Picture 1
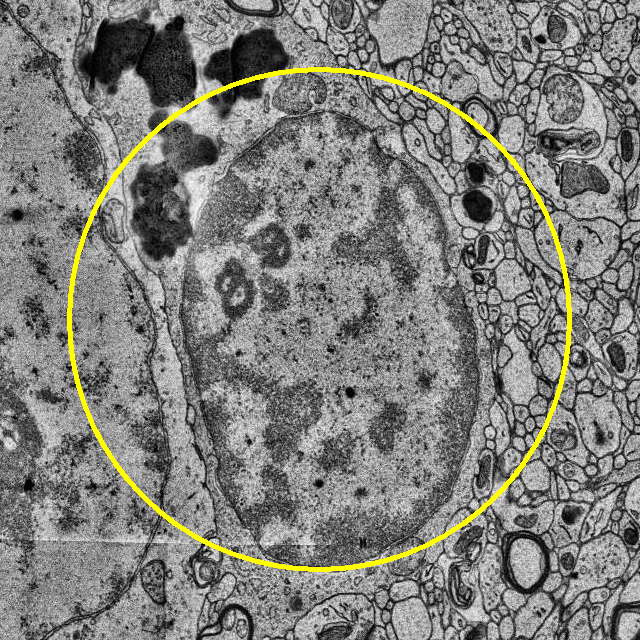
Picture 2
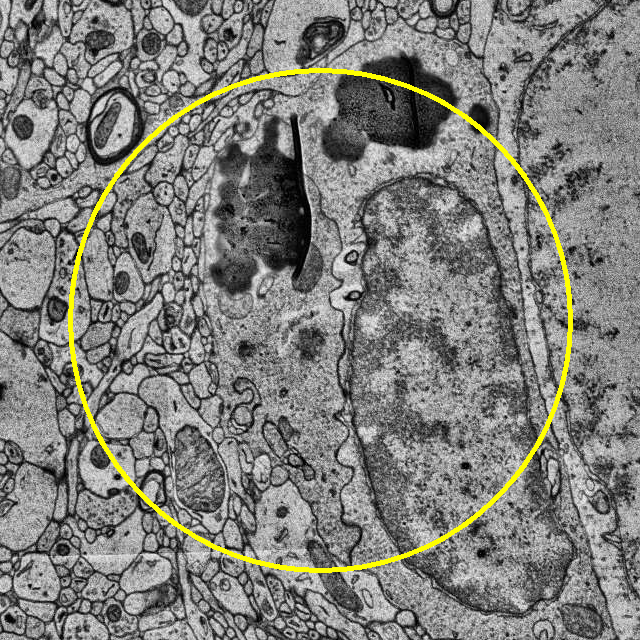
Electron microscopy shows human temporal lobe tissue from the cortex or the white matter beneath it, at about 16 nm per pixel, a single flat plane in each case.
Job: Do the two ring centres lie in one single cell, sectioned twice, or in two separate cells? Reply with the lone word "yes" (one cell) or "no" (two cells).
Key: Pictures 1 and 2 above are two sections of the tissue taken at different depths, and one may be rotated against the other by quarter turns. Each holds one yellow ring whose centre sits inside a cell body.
yes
